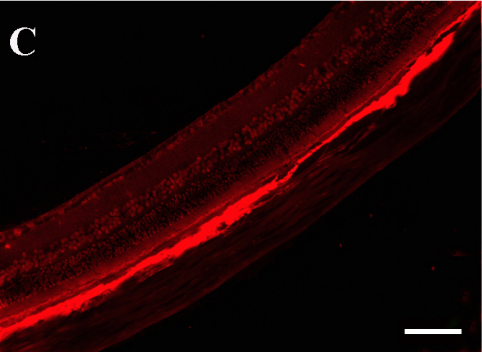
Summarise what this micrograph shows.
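The inner edge is smooth, without protruding profiles; small vessel cross-sections are faint within the inner layers. The retinal layers show as bands of fine punctate nuclei alternating with paler, more homogeneous layers. Beyond it the tissue is dim and streaky, fading to a dark background.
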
